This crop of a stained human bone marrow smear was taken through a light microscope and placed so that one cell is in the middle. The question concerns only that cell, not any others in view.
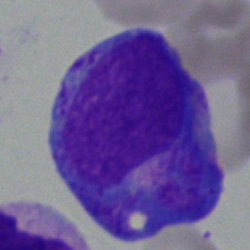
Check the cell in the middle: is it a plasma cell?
no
